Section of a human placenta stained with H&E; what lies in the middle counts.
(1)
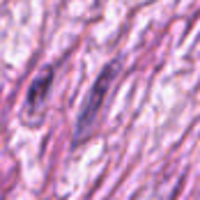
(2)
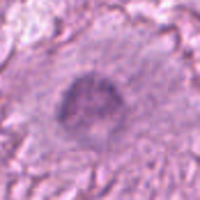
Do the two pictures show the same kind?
No: a vascular myocyte, then a maternal decidual cell.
